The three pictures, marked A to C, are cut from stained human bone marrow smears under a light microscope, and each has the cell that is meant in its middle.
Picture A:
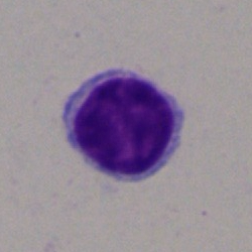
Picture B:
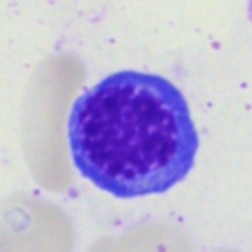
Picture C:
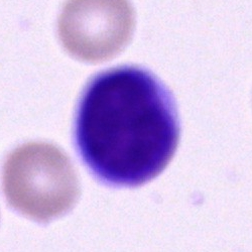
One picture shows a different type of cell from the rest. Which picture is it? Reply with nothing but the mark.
B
